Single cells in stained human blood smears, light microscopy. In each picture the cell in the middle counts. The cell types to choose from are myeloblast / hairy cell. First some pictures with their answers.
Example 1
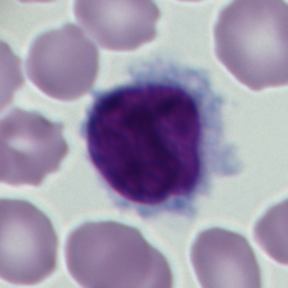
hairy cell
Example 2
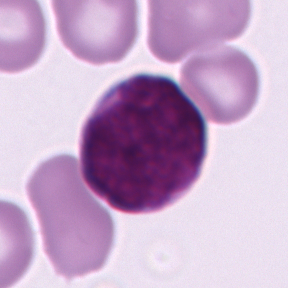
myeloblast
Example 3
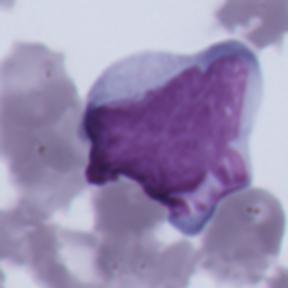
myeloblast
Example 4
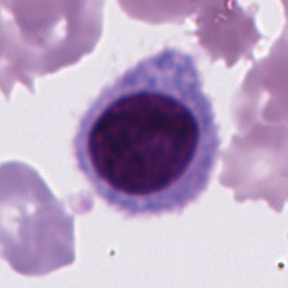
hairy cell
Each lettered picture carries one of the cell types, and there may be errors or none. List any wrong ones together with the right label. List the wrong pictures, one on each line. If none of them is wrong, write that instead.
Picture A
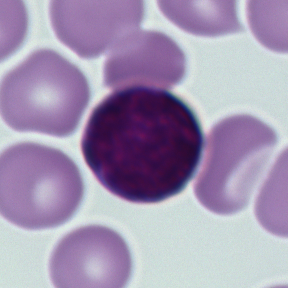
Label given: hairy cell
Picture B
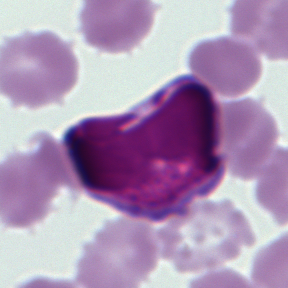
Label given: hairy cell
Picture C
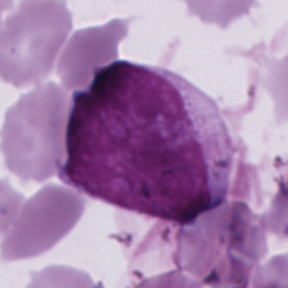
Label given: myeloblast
A is labelled hairy cell; correct label: myeloblast
B is labelled hairy cell; correct label: myeloblast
